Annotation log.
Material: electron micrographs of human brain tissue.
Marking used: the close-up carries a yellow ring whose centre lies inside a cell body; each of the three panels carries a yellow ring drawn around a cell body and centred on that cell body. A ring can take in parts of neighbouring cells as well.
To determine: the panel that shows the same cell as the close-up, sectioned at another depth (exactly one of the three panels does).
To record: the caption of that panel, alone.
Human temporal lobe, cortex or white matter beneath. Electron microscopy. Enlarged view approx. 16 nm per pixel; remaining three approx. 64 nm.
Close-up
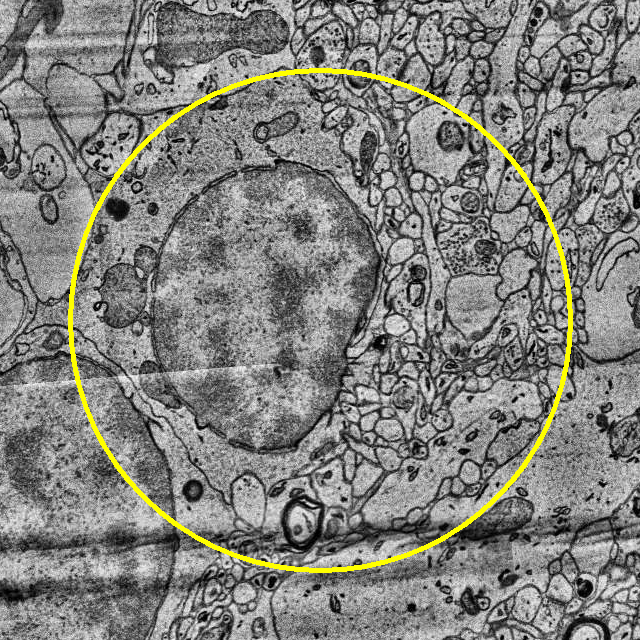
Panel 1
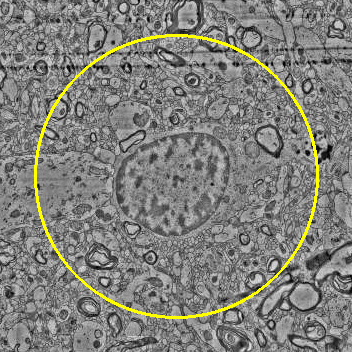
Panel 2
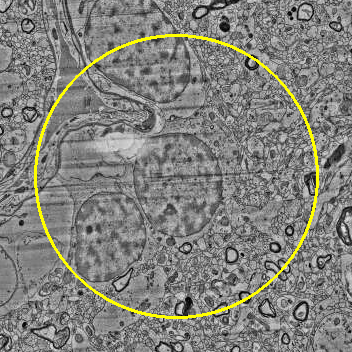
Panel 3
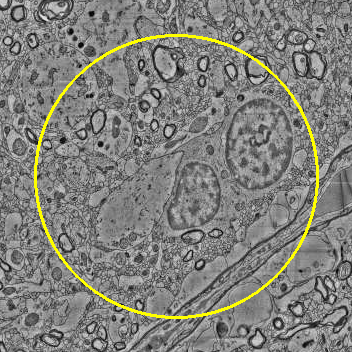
Panel 2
